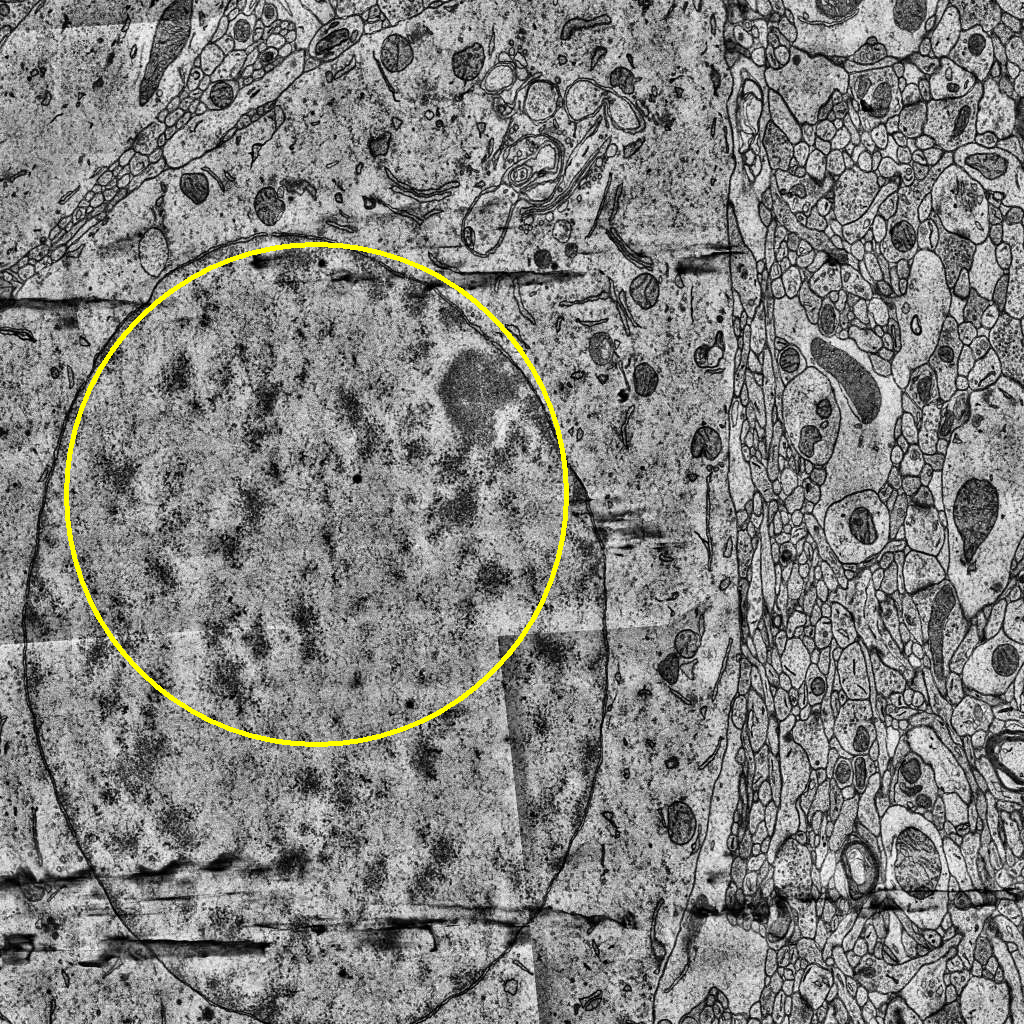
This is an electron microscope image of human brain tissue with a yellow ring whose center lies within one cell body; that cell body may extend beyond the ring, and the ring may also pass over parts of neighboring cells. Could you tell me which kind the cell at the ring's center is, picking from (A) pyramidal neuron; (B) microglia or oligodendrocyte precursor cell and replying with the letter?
A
